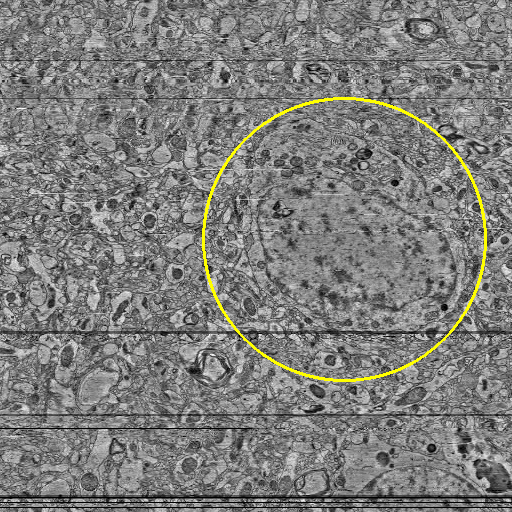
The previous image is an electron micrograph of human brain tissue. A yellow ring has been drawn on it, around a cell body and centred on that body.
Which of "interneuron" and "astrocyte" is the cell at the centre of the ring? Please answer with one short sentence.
The cell body at the centre of the ring belongs to an interneuron.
